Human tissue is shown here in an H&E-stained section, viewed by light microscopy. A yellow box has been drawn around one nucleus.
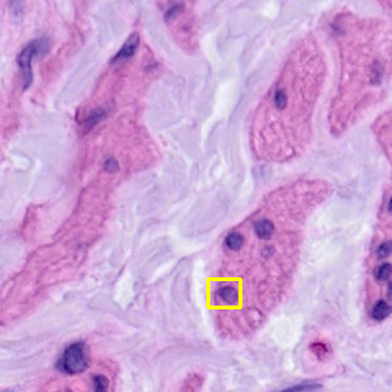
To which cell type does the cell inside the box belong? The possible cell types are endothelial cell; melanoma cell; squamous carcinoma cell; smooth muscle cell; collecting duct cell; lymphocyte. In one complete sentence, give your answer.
Placed in its cell category, the cell inside the box is a smooth muscle cell.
